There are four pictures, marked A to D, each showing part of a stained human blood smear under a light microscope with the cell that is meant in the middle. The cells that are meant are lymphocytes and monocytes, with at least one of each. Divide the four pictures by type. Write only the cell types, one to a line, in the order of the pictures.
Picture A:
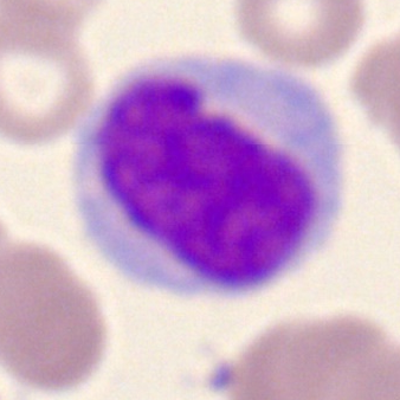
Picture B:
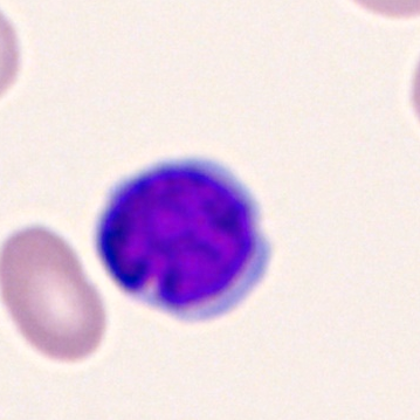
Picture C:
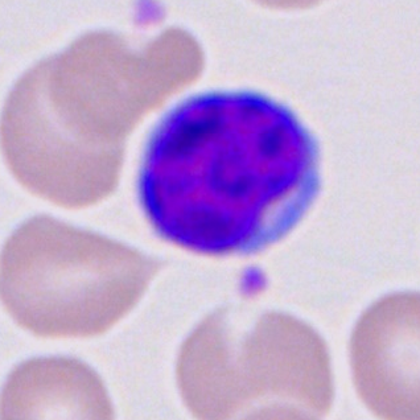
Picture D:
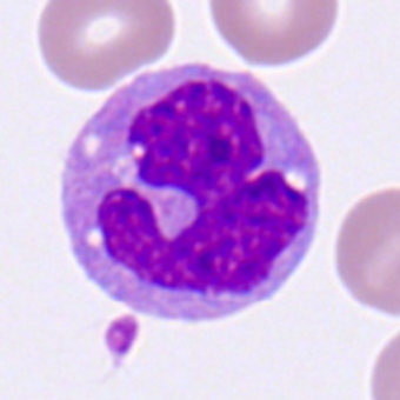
monocyte
lymphocyte
lymphocyte
monocyte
